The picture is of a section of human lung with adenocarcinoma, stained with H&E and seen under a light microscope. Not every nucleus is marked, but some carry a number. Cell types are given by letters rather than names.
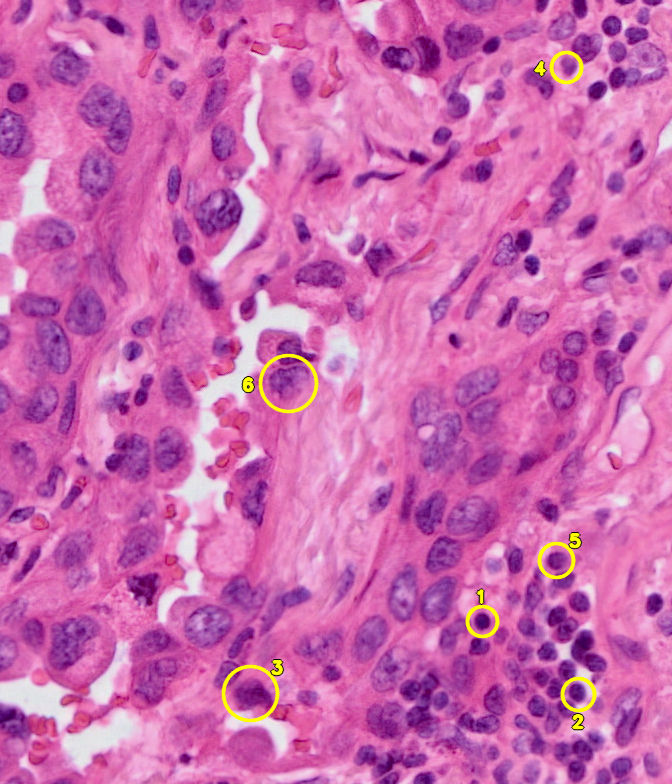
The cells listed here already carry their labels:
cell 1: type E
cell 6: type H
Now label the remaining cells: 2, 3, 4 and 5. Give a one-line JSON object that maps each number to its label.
{"2": "type E", "3": "type H", "4": "type E", "5": "type E"}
